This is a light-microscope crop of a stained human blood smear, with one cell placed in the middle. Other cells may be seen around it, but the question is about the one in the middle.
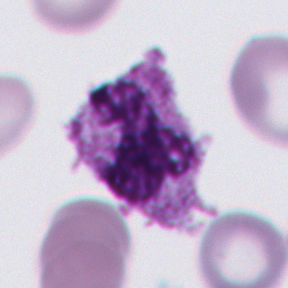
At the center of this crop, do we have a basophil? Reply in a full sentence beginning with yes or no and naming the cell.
Yes, the one cell at the centre is a basophil.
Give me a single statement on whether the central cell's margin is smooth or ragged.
In outline, the cell is irregular, ragged in stretches or drawn into projections.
